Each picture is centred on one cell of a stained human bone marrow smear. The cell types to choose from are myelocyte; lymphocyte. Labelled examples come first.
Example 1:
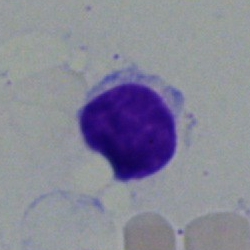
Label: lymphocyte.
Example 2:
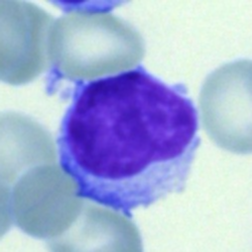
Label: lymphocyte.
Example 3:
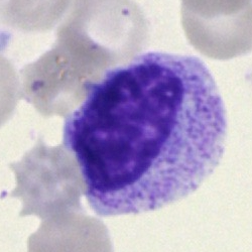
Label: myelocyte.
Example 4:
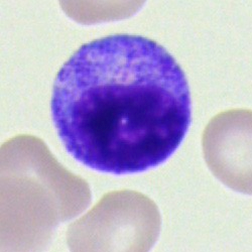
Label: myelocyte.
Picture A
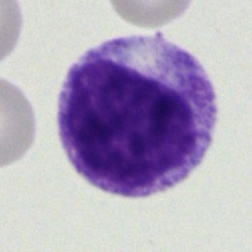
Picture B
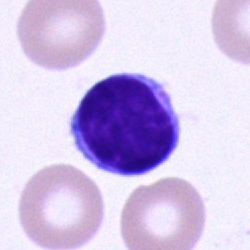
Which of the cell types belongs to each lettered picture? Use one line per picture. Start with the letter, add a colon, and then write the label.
A: myelocyte.
B: lymphocyte.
